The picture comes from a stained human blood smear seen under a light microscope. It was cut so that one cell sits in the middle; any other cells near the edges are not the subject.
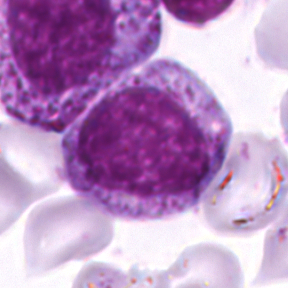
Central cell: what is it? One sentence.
The middle of this crop is occupied by a myelocyte.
